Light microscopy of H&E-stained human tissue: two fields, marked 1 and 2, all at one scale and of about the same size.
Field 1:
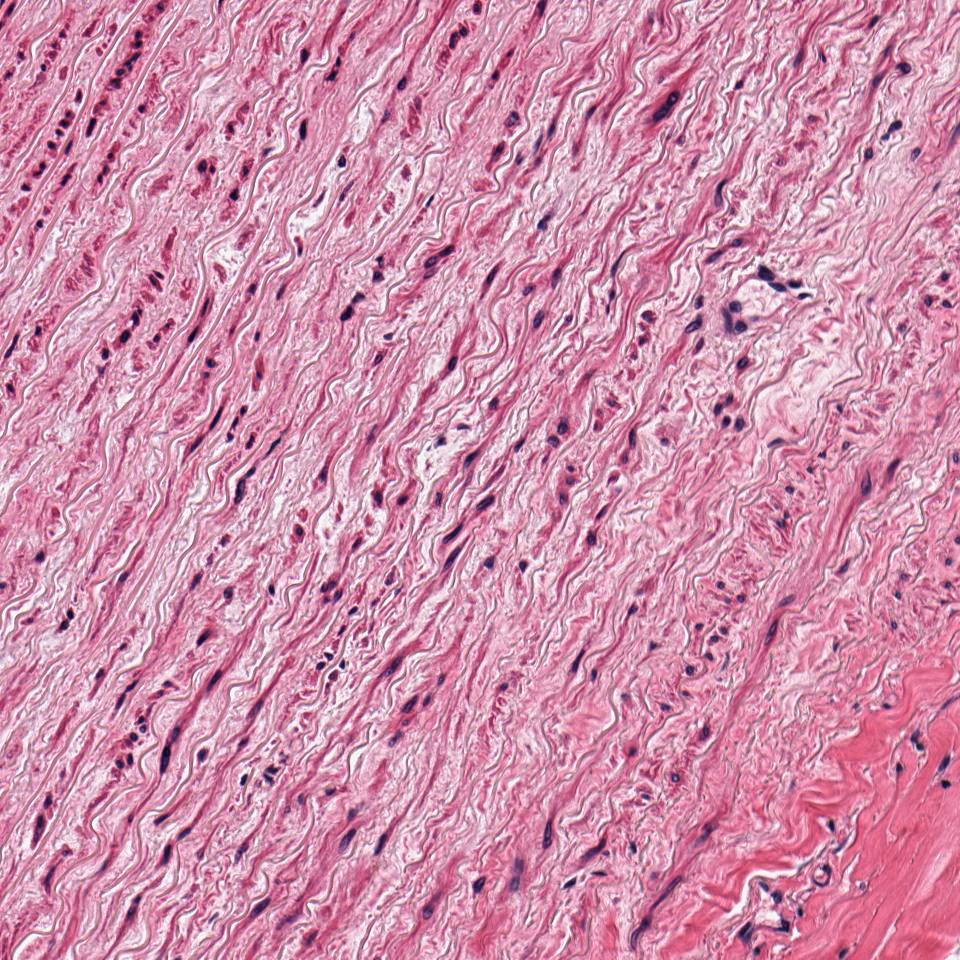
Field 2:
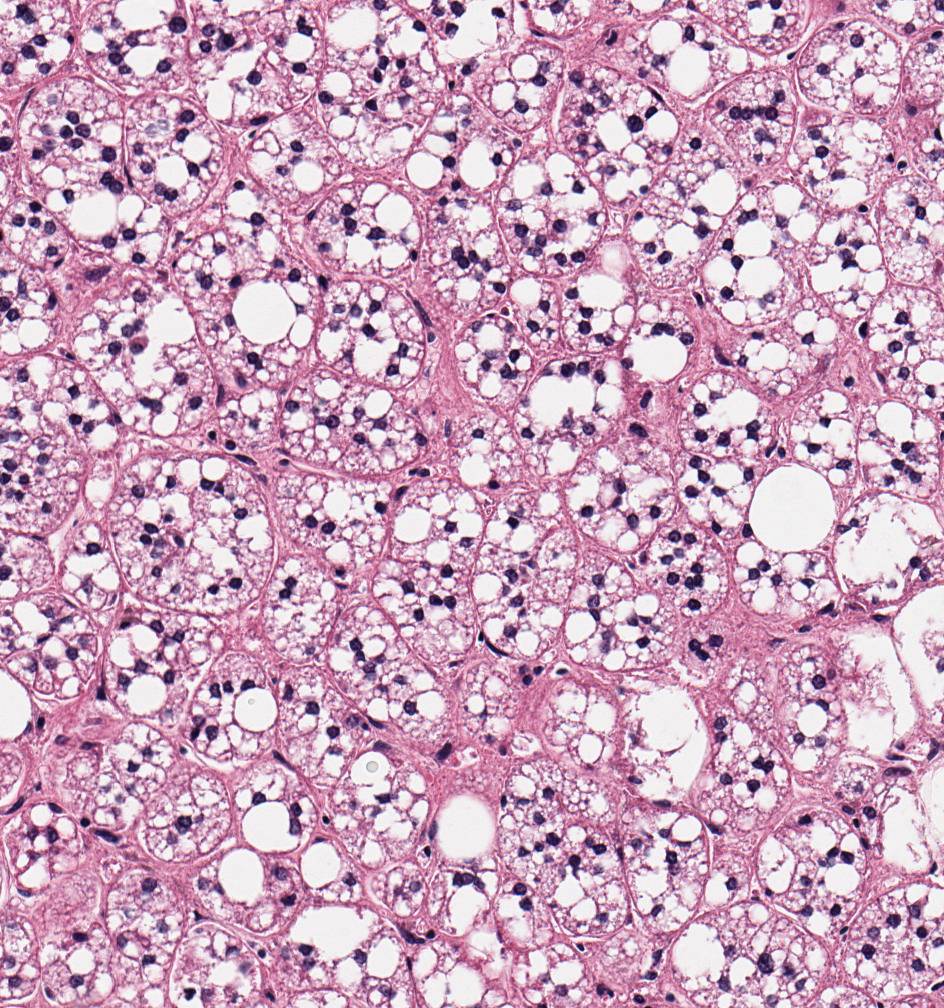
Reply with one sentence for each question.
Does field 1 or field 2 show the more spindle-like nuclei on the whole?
The nuclei are more elongated in field 1.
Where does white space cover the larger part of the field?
It is field 2 in which white space covers the larger part.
